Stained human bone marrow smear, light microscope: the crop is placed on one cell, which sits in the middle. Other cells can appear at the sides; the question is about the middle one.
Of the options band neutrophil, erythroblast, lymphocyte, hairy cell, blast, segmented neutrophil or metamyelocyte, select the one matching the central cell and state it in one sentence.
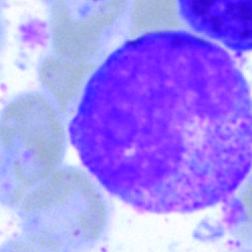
Here the cell in the middle is a metamyelocyte.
